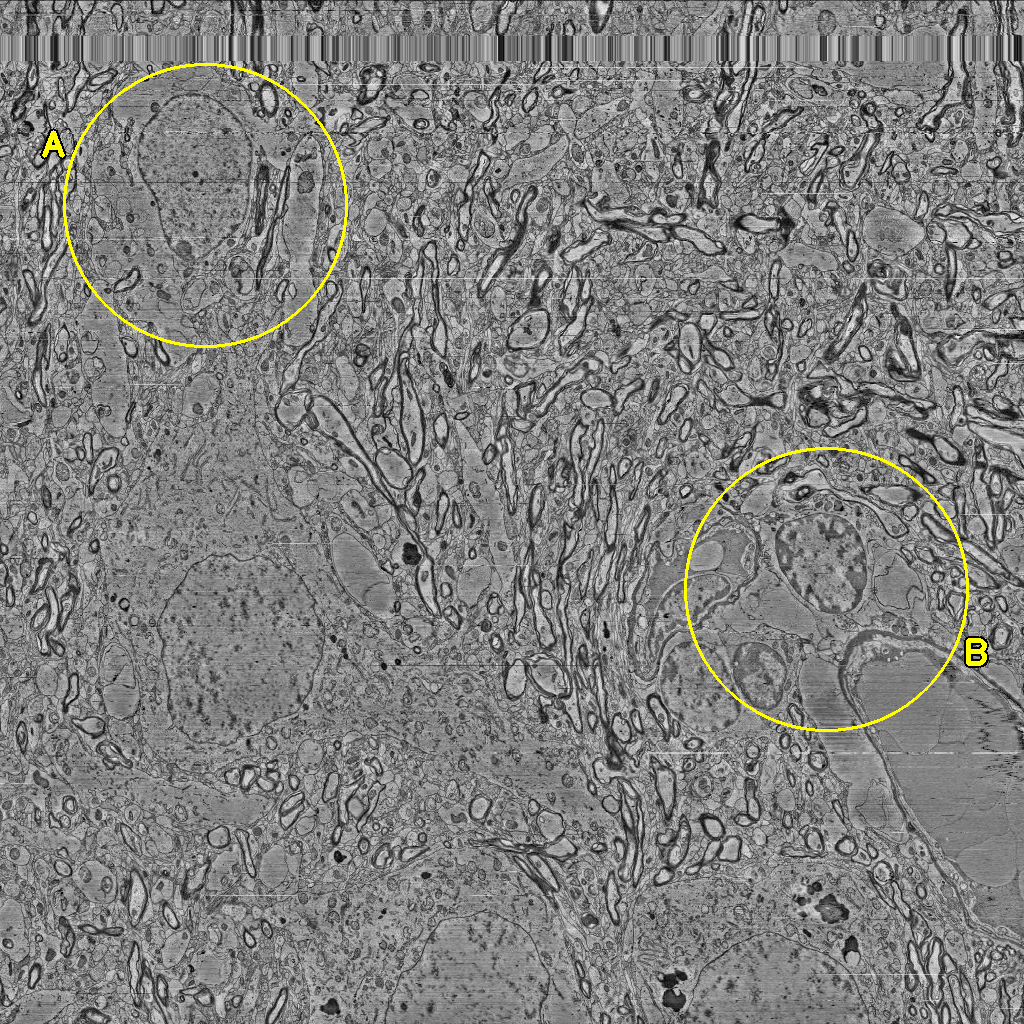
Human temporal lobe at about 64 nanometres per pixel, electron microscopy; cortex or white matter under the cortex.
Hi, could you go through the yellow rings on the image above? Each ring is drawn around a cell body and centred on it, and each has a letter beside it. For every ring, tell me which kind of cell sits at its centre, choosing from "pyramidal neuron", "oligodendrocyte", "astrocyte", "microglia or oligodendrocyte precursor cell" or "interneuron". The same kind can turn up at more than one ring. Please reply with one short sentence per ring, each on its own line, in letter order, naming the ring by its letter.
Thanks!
Ring A is centred on an astrocyte.
Ring B is centred on a microglial cell or oligodendrocyte precursor cell.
